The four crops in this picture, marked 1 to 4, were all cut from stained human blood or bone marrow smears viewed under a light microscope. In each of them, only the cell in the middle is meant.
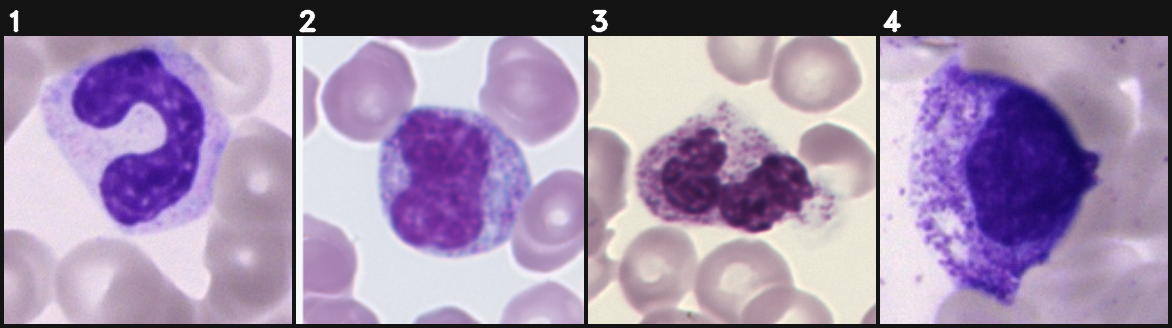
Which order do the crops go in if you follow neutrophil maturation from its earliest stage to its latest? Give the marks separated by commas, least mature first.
4, 2, 1, 3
